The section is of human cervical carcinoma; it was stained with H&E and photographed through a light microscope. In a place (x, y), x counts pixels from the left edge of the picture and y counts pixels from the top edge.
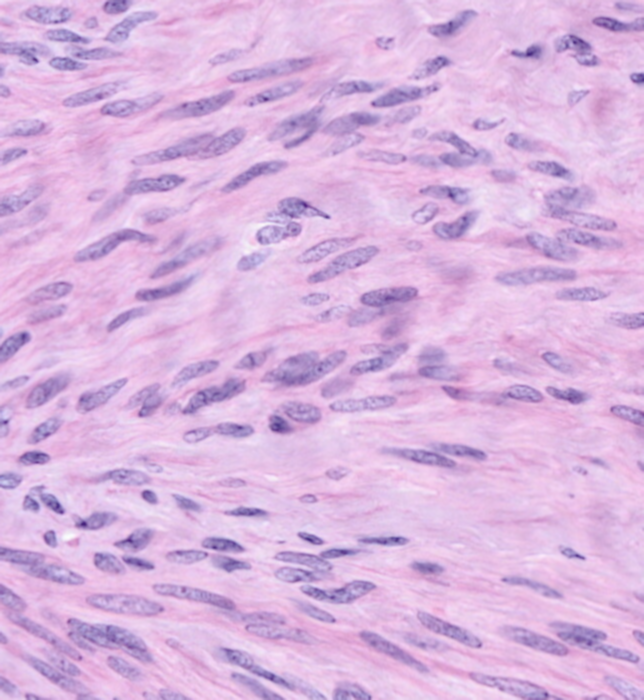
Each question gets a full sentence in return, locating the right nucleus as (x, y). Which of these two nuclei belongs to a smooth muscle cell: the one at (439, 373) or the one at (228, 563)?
The nucleus that belongs to a smooth muscle cell is located at (439, 373).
